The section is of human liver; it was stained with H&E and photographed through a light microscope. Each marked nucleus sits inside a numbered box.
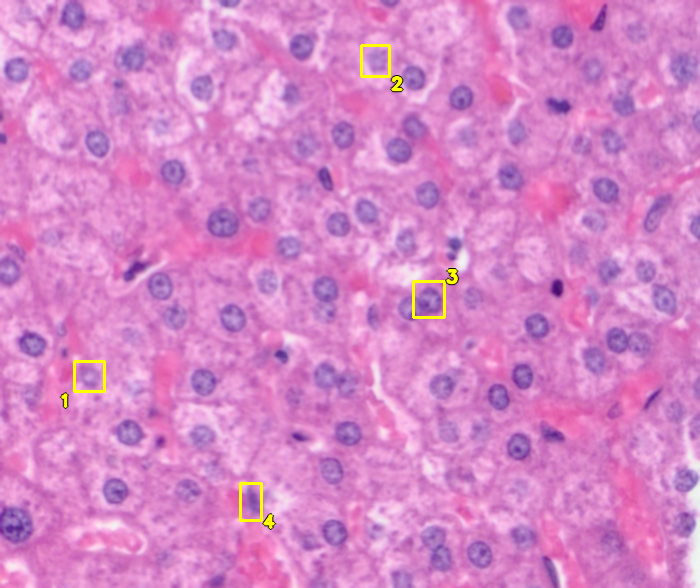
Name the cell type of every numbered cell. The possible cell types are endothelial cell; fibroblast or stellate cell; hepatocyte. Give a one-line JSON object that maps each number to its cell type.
{"1": "hepatocyte", "2": "hepatocyte", "3": "hepatocyte", "4": "endothelial cell"}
